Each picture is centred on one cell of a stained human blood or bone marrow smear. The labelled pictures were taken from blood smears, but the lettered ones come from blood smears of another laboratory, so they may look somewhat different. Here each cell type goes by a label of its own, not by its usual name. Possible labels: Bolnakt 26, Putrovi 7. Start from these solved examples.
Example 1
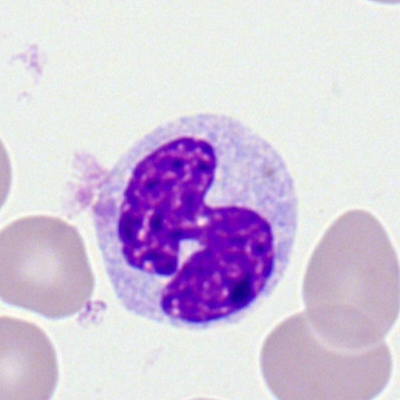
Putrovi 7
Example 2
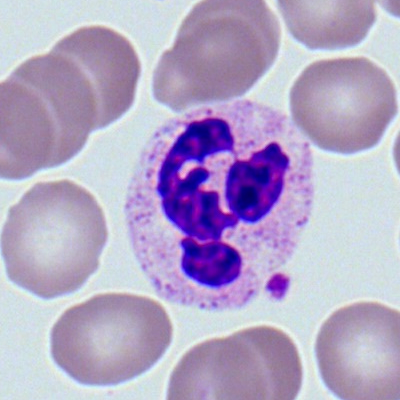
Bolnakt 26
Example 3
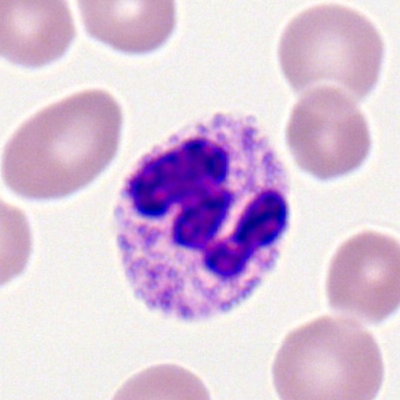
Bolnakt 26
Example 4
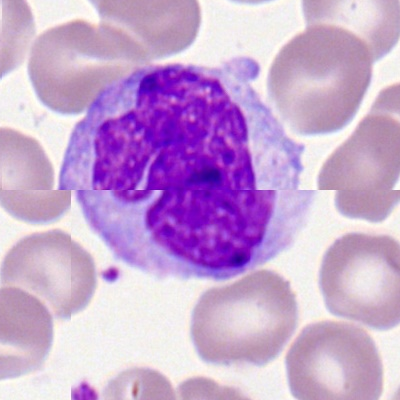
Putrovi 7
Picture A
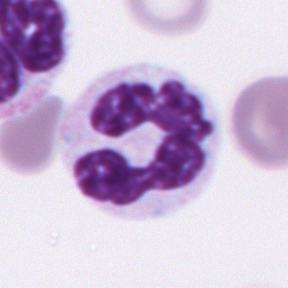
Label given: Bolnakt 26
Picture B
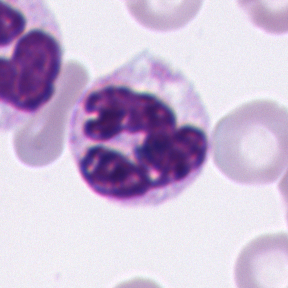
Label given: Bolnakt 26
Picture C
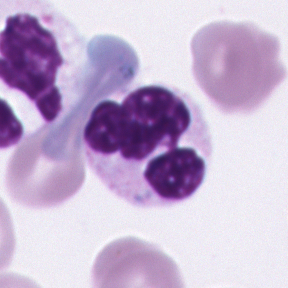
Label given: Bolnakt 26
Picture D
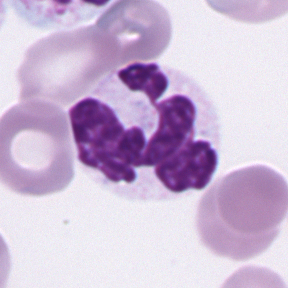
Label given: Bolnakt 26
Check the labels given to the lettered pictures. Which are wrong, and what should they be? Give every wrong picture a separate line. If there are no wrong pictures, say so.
Every label is right.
